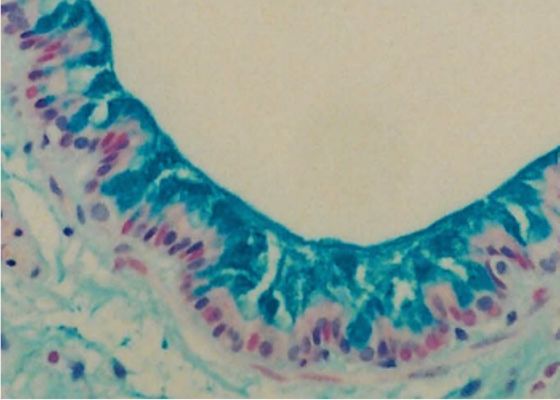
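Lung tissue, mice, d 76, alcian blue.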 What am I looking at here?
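Airway wall lined by a columnar epithelium in which many cells are distended with blue-staining mucus that reaches the luminal surface, giving a continuous blue band. Nuclei, stained red-purple, sit toward the base of the epithelium. Beneath lies loose connective tissue with pale blue-green staining and scattered cells.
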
